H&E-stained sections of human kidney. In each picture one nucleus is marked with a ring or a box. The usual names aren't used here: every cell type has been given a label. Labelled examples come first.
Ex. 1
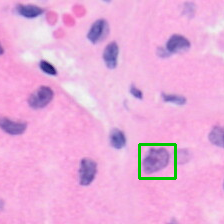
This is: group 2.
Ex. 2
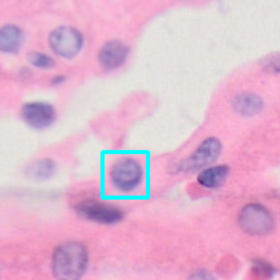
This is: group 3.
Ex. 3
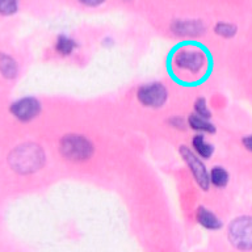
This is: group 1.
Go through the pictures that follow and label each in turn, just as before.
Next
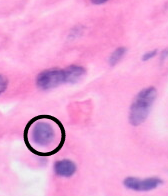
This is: group 1.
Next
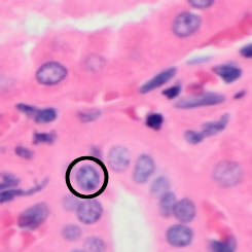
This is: group 3.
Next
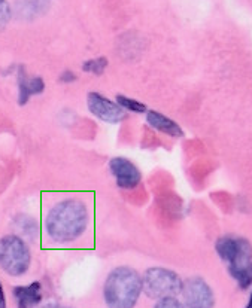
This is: group 3.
